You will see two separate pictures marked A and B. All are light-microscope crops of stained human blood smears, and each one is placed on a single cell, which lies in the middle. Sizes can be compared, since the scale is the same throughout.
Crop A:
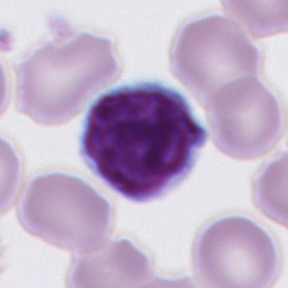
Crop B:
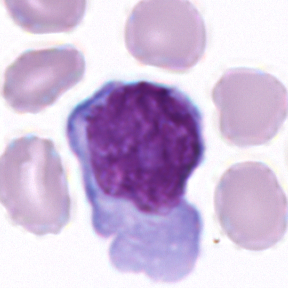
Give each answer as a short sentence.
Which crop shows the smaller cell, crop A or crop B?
It is the cell in crop A; the cell in crop B has about 2 times its area.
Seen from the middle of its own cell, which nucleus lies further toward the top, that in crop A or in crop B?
In crop B the nucleus is shifted more toward the top.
